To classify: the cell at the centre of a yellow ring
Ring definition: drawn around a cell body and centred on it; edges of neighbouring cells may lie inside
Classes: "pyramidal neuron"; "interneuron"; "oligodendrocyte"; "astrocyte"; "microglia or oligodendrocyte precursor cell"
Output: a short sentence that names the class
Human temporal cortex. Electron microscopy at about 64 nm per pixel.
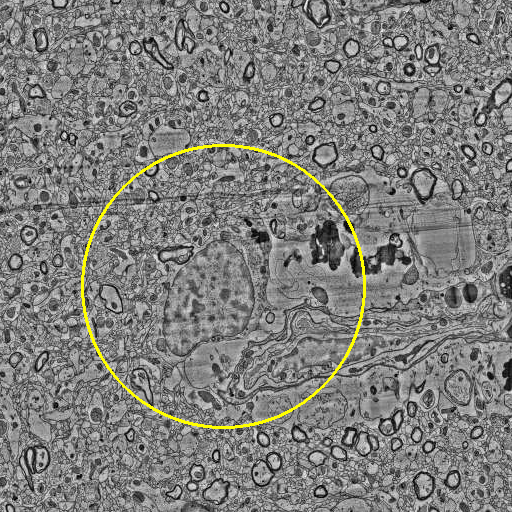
The ringed cell is an oligodendrocyte.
